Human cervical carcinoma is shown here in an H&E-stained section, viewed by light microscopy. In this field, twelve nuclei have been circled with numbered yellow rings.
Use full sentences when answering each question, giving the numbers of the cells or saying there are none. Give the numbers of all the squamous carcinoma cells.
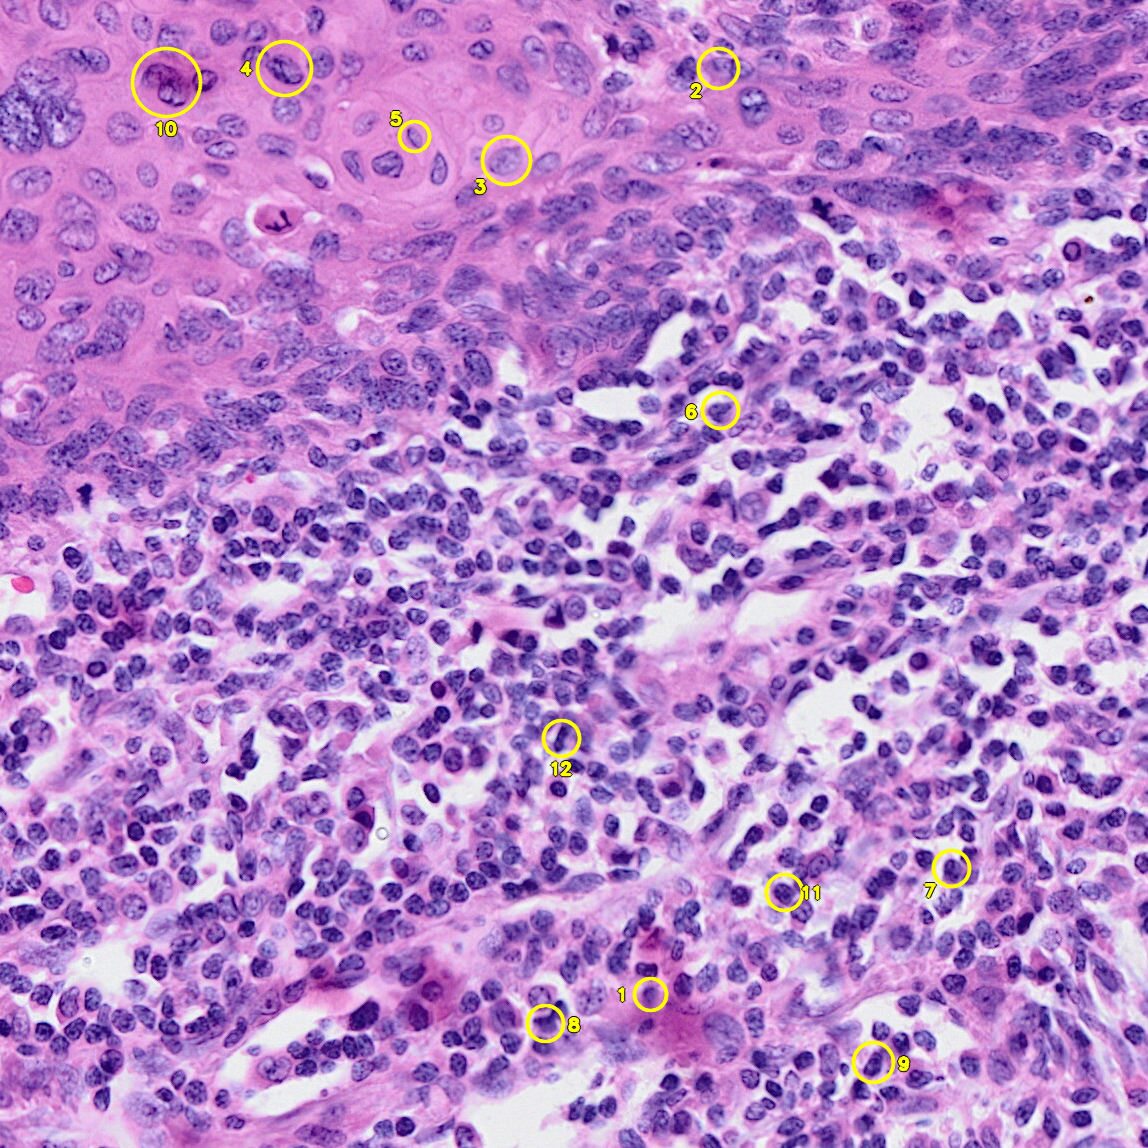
Here, the cells that carry numbers 2, 3, 4, 5 and 10 are squamous carcinoma cells.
